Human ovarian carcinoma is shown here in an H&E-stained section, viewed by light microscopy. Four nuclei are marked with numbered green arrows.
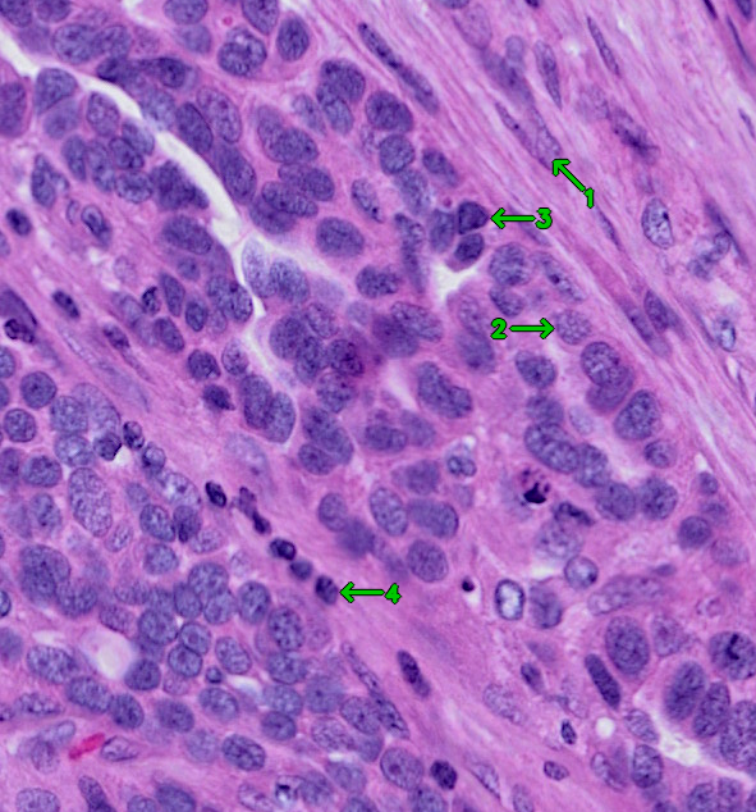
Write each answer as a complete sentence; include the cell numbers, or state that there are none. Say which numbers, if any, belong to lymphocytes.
Response: cell 4 is a lymphocyte, and no other numbered cell is.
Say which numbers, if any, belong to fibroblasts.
Only the cell carrying number 1 is a fibroblast.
